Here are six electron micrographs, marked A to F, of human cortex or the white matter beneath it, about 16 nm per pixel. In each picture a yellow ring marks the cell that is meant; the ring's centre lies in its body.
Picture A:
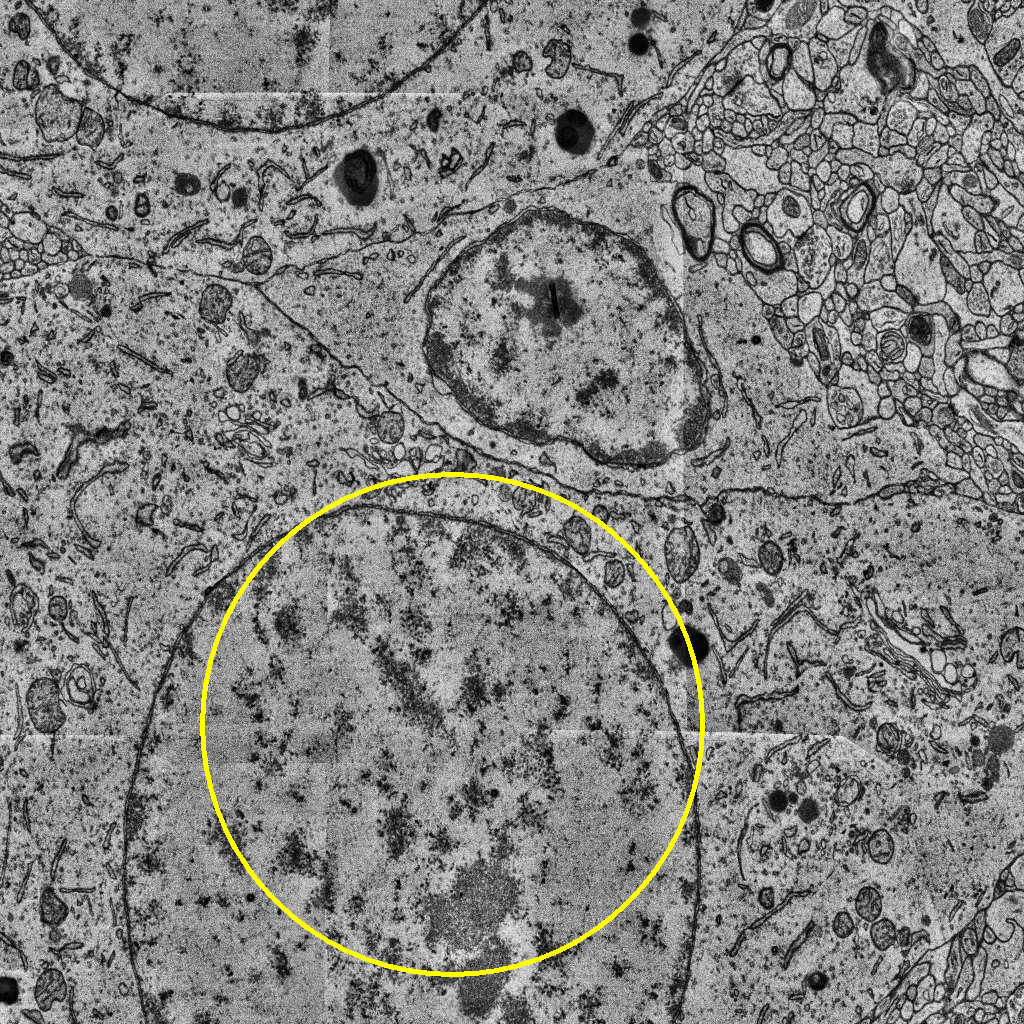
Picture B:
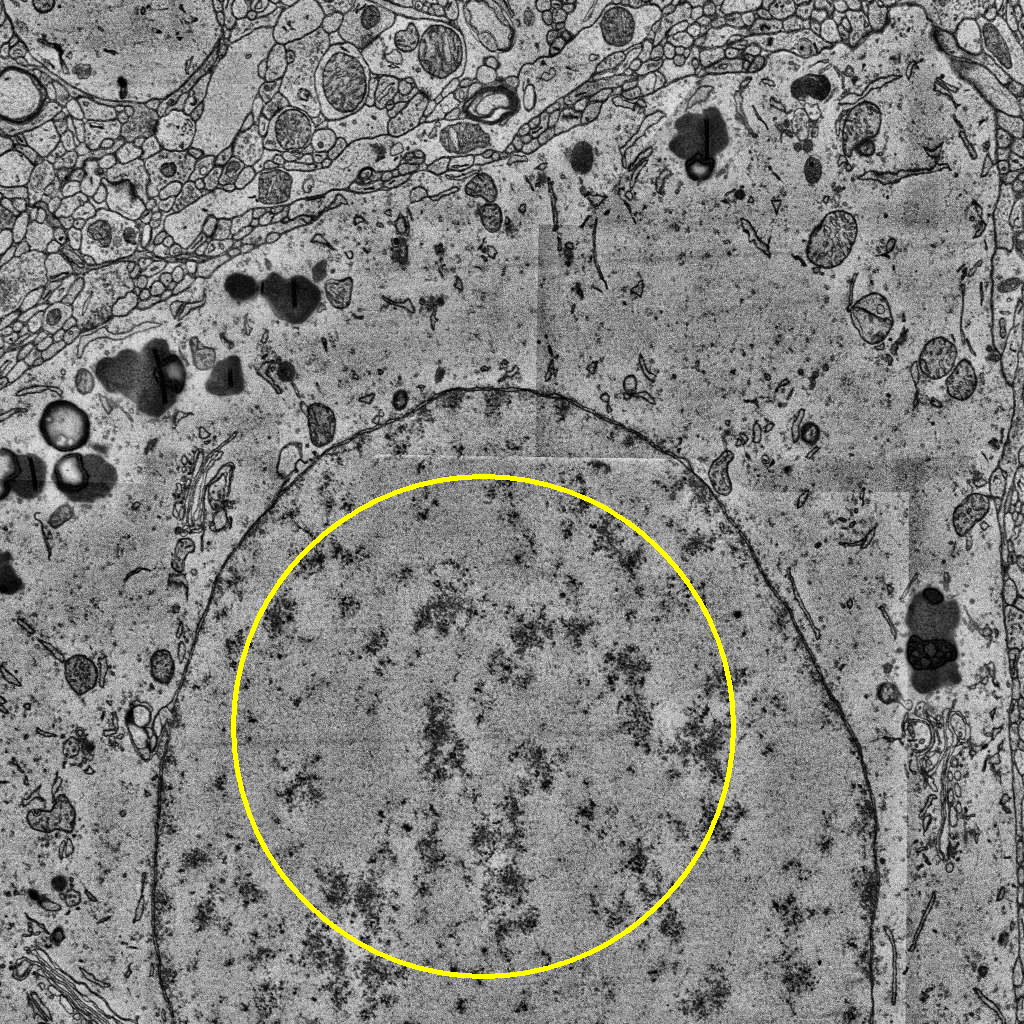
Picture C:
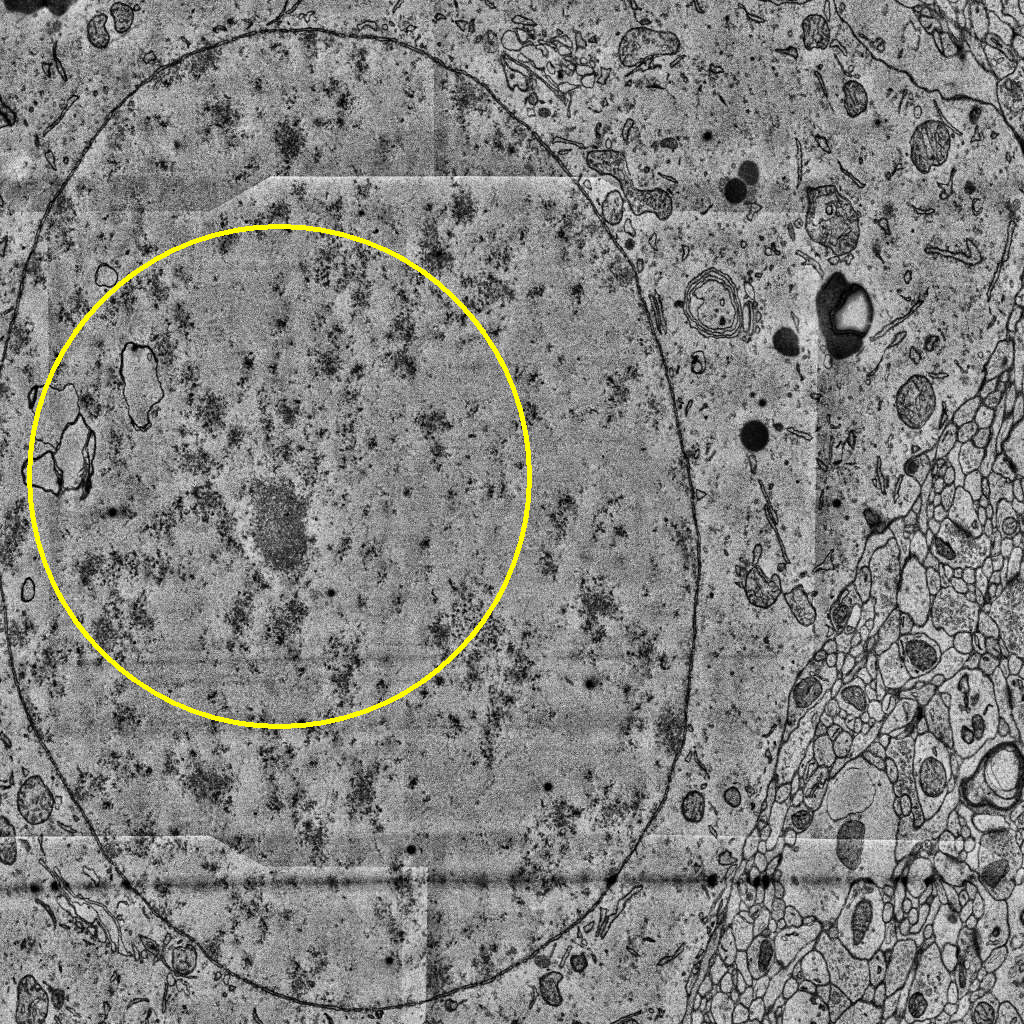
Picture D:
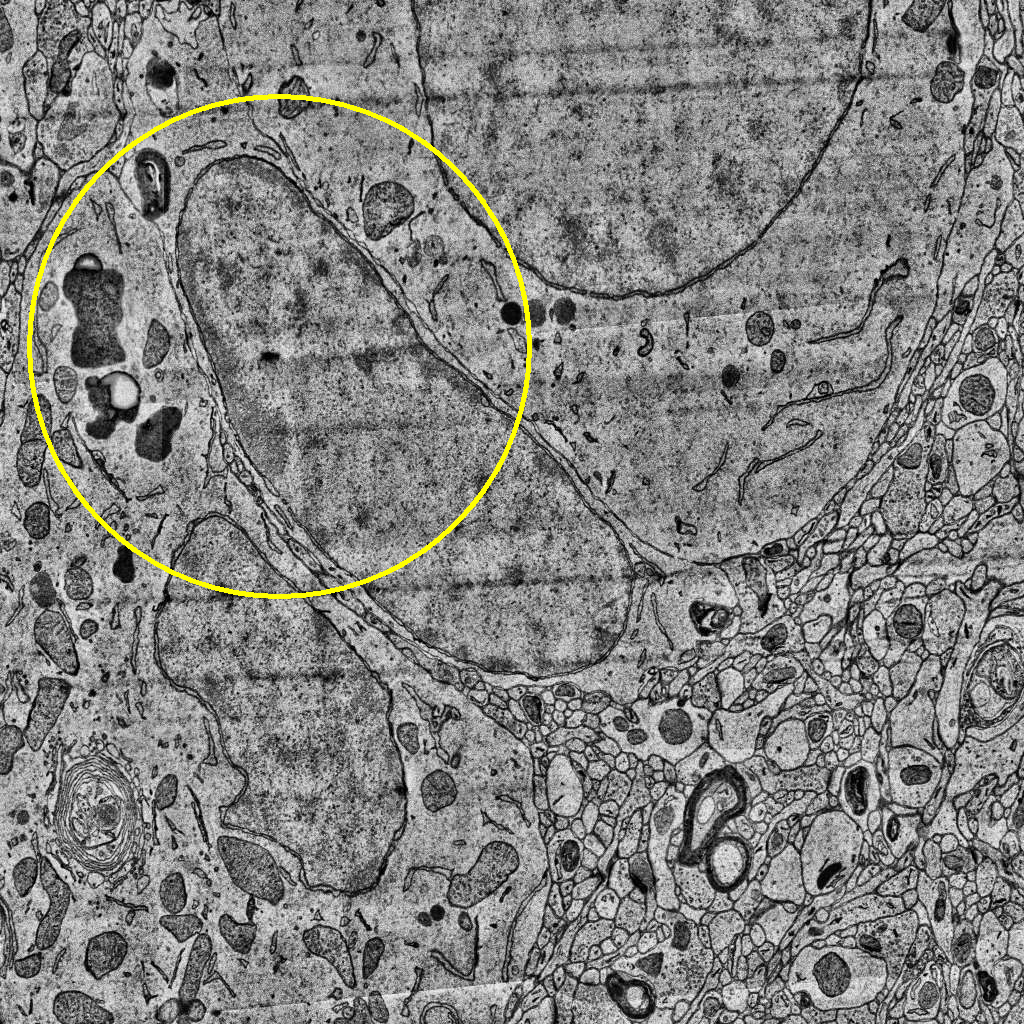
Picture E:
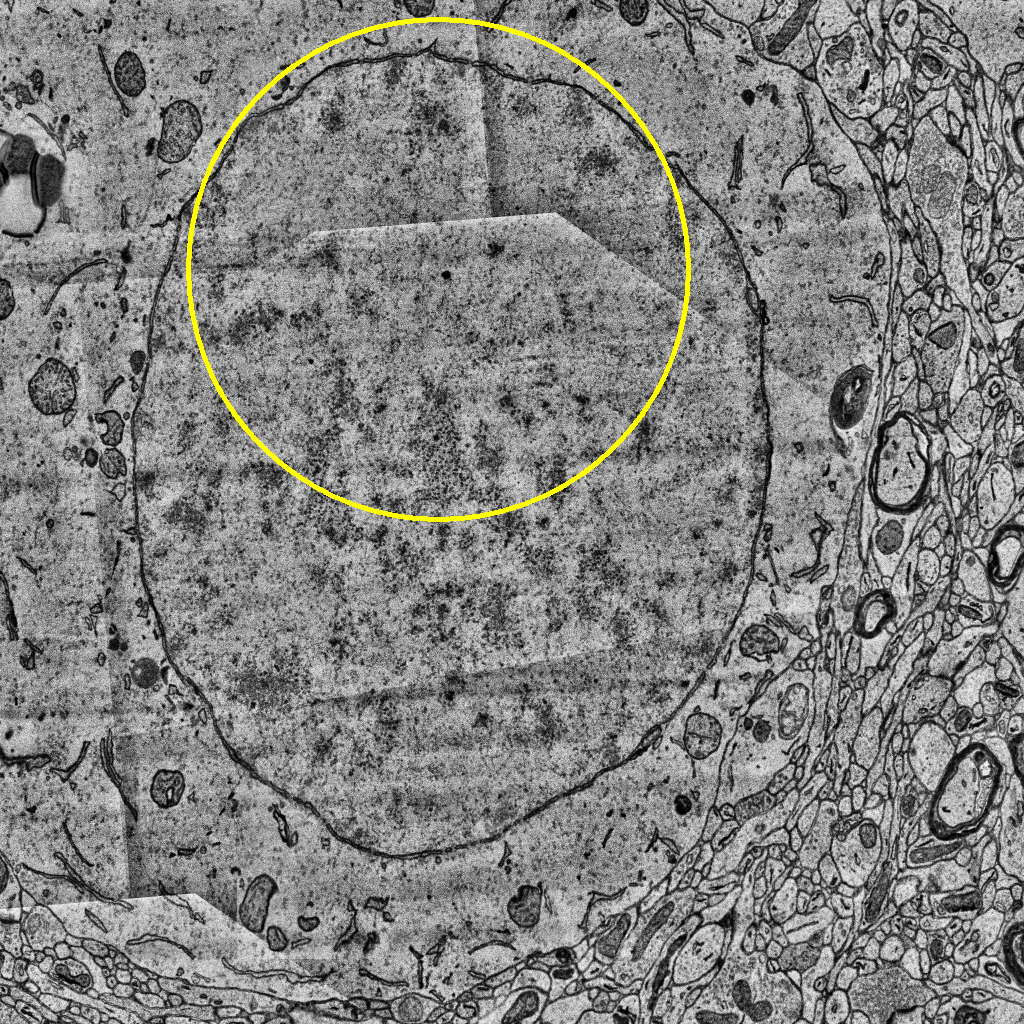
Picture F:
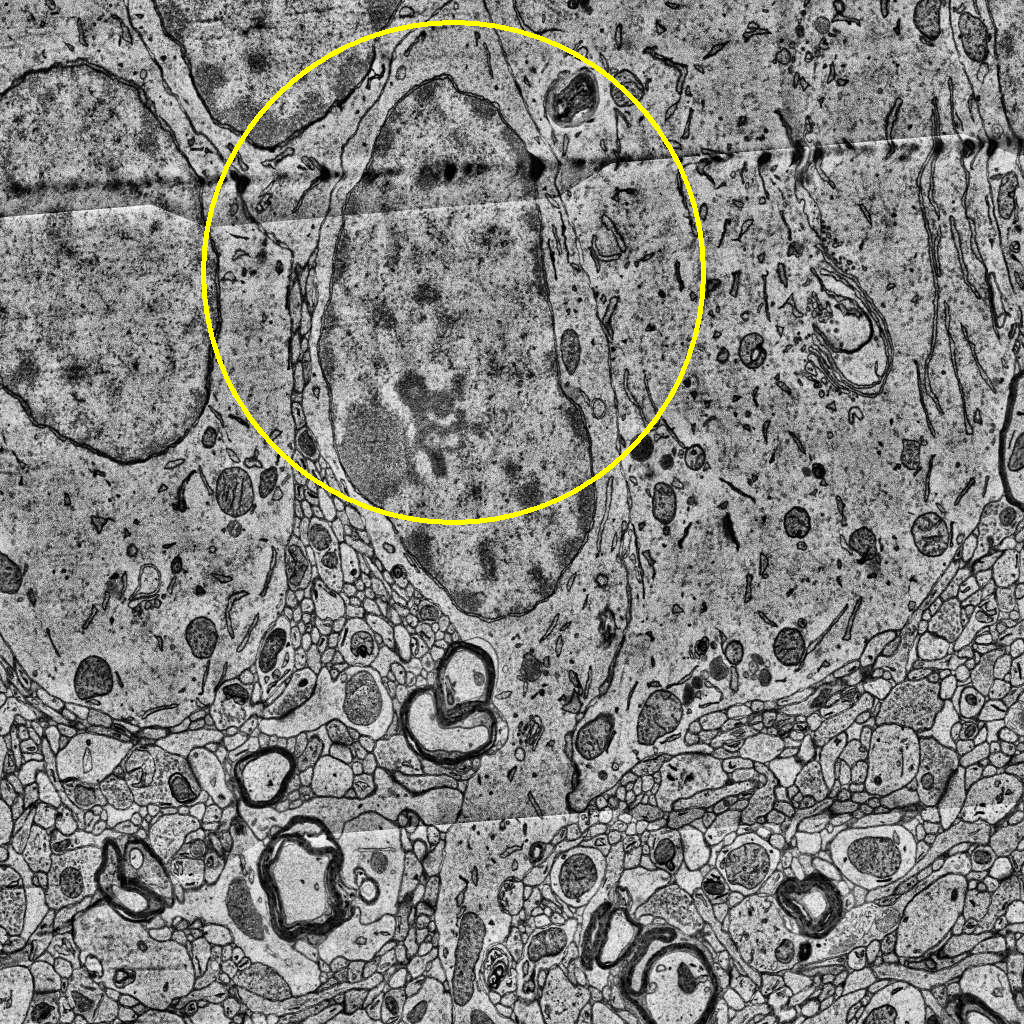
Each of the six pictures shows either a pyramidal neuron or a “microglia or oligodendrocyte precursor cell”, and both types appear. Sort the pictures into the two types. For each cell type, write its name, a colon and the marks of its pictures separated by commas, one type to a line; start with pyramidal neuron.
pyramidal neuron: A, B, C, E
microglia or oligodendrocyte precursor cell: D, F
